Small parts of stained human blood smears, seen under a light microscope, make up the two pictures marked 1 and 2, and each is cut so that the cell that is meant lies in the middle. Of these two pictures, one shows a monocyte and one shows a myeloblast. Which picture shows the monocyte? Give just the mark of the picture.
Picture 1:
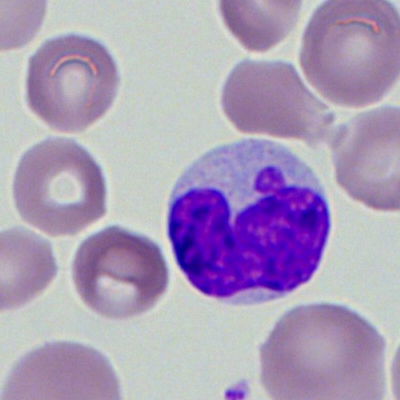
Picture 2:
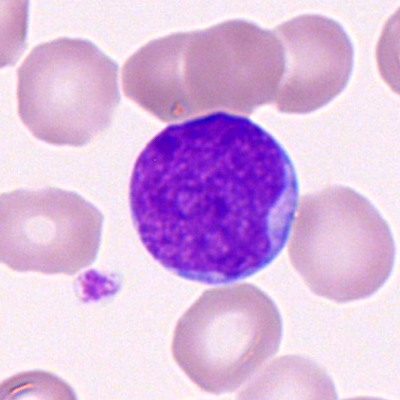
1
